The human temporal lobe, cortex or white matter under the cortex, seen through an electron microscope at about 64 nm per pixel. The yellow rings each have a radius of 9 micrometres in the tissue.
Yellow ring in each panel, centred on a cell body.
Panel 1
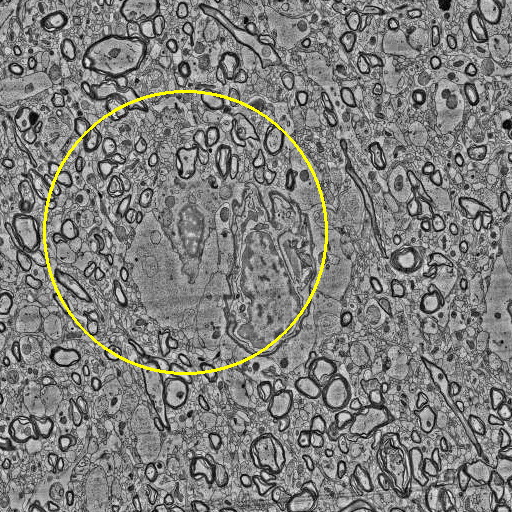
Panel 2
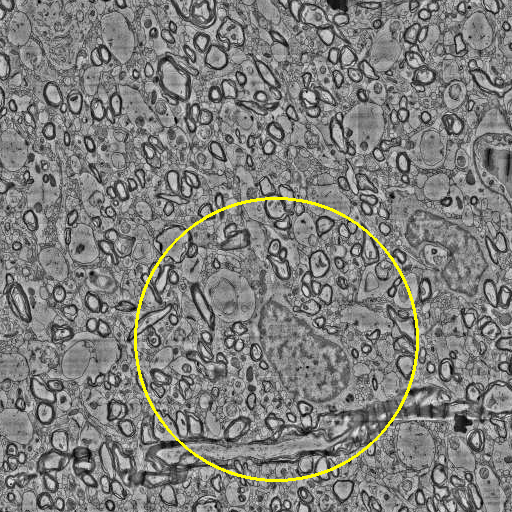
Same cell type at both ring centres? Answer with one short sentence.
Yes, both cells are of the same type.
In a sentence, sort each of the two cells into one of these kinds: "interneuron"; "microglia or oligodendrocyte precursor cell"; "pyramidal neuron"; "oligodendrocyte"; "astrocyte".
Both rings mark an oligodendrocyte, one in each picture.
